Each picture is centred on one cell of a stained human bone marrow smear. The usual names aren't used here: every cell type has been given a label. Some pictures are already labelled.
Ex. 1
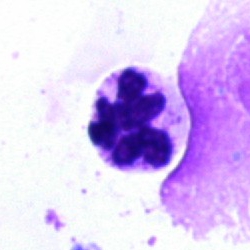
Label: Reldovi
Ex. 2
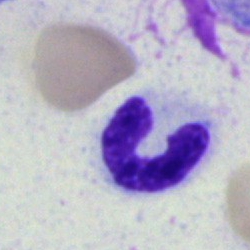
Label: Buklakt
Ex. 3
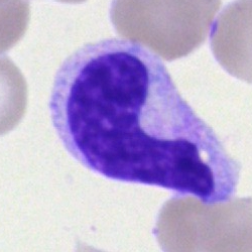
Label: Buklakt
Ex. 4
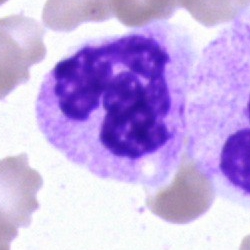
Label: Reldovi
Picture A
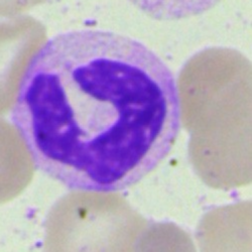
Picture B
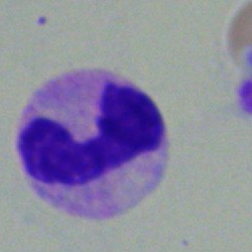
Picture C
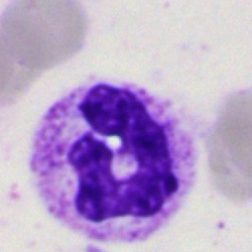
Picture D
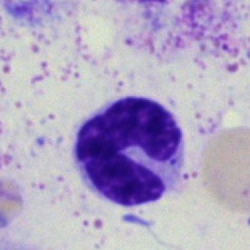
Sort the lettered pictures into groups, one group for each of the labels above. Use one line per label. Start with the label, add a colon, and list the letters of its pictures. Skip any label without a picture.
Reldovi: C
Buklakt: A, B, D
